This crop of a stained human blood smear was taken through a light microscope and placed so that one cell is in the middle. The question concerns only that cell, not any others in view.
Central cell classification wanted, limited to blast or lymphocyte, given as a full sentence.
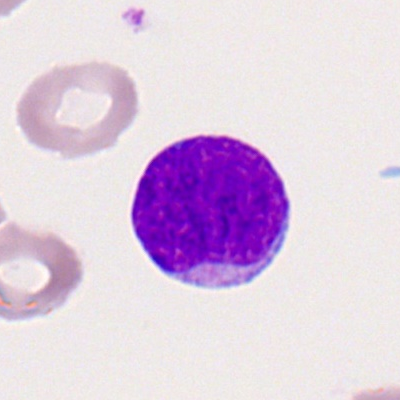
The central cell, amid any neighbouring cells, is a blast.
